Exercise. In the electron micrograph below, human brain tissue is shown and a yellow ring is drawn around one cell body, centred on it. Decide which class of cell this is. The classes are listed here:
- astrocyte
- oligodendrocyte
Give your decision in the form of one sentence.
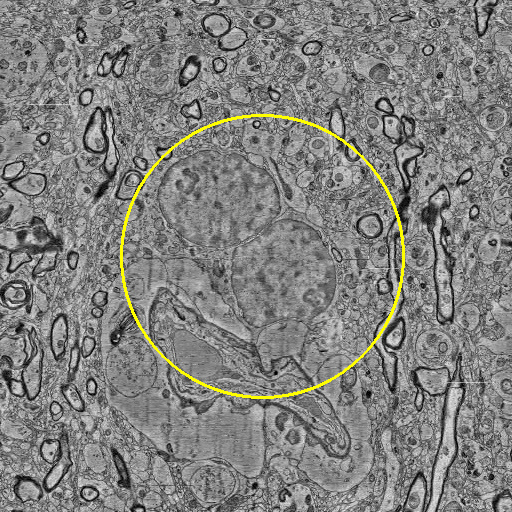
The cell body marked by the ring belongs to an oligodendrocyte.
